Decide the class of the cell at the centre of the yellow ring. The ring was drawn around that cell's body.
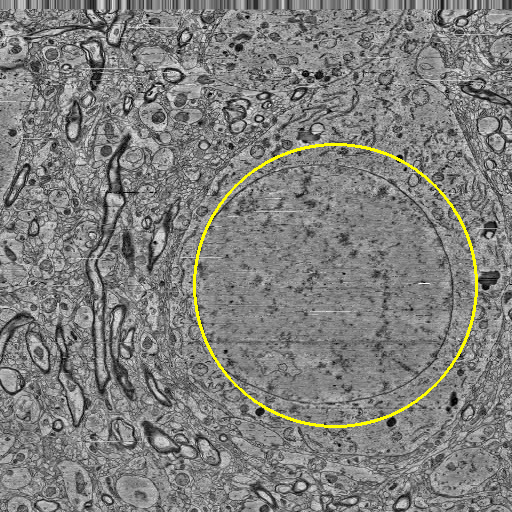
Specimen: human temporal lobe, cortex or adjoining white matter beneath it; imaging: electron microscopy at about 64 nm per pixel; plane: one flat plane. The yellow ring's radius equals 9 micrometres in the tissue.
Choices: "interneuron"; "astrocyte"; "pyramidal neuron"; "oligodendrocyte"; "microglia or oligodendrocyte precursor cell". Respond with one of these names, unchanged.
pyramidal neuron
